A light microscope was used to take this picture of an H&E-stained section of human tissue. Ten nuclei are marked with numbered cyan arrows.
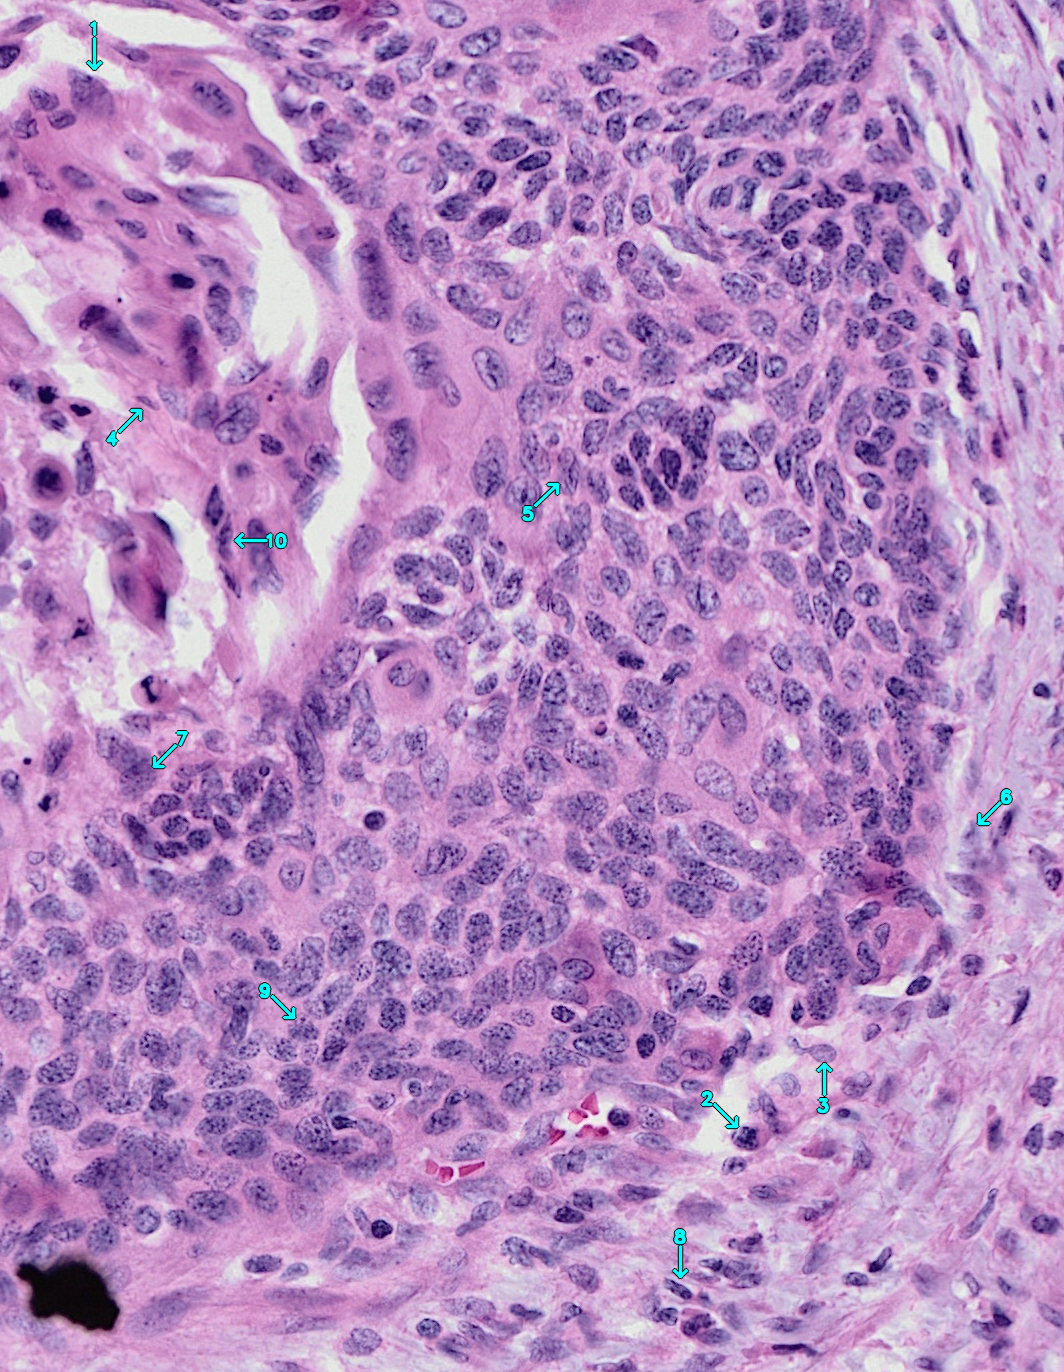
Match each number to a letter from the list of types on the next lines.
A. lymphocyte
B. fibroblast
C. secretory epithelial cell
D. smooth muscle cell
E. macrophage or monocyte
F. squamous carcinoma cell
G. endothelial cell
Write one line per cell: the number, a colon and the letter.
1: F
2: A
3: E
4: F
5: F
6: B
7: F
8: A
9: F
10: F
